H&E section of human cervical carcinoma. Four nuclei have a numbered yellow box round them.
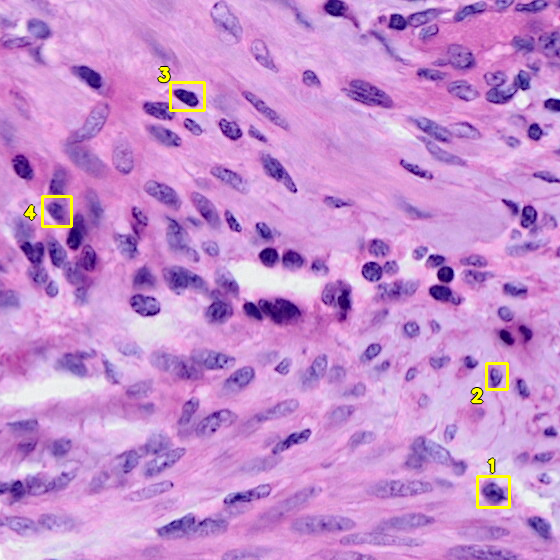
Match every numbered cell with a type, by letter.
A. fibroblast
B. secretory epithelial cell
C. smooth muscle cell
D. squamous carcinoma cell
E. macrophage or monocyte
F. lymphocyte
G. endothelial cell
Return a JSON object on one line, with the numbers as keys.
{"1": "F", "2": "C", "3": "F", "4": "F"}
